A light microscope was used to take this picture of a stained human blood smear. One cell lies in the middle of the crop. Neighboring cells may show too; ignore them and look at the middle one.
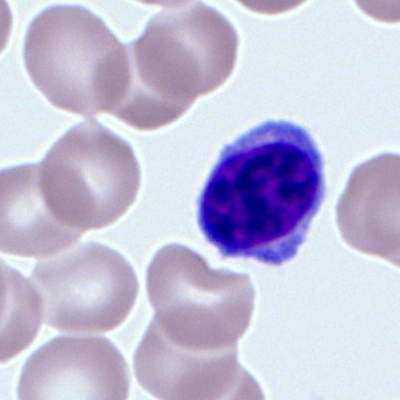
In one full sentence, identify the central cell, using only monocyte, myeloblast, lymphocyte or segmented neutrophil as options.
In this crop, the cell at the very middle is a lymphocyte.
